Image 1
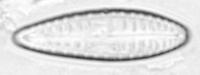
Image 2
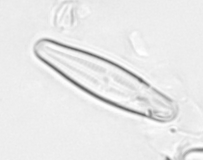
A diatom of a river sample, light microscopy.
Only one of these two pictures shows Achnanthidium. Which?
Picture 2.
